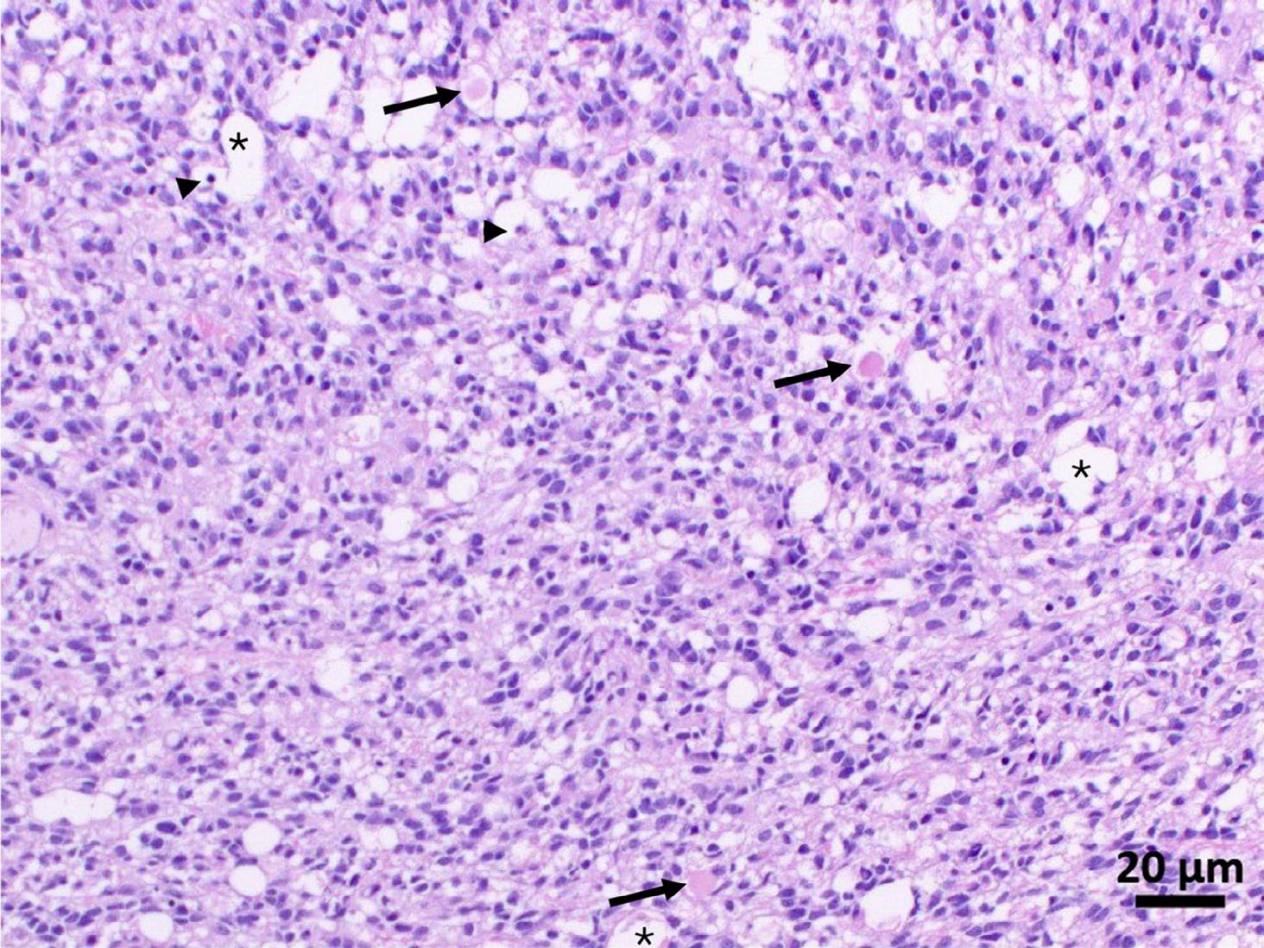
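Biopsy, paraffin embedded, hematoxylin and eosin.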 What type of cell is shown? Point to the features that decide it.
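Neoplastic cells with hyperchromatic nuclei. The tissue is crowded with closely packed cells. The nuclei are dark purple, oval to elongated. Pale vacuolated background lies between the cells.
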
